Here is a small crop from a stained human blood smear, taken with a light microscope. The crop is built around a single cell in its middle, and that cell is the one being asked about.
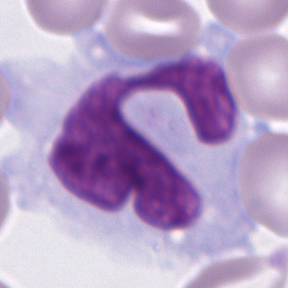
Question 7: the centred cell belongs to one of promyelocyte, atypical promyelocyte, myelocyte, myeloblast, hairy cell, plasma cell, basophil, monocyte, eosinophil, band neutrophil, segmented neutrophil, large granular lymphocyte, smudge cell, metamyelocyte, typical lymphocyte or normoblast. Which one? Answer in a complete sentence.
Seen at the centre of the crop is a monocyte.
